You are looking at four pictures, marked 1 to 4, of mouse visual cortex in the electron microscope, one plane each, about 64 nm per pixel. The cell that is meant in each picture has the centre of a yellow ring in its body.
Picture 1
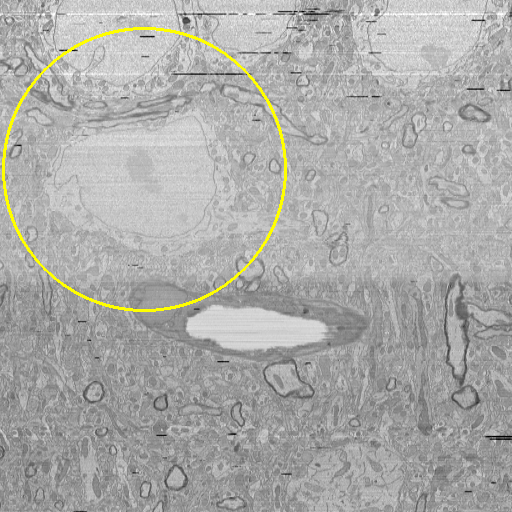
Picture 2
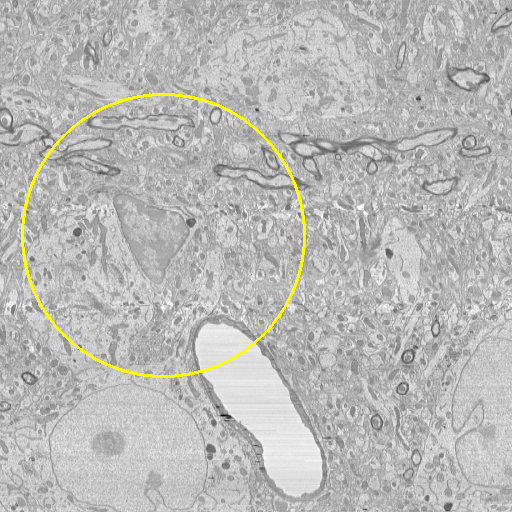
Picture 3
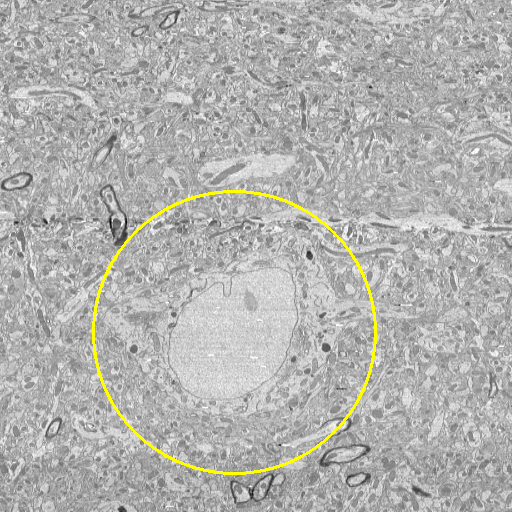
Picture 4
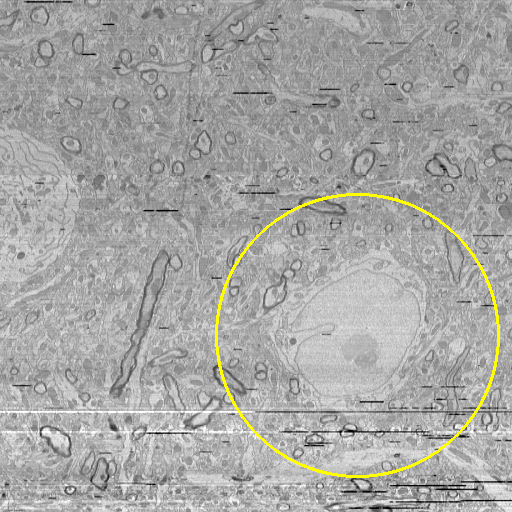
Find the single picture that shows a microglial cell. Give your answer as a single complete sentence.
Picture 2 is the one that shows the microglial cell.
